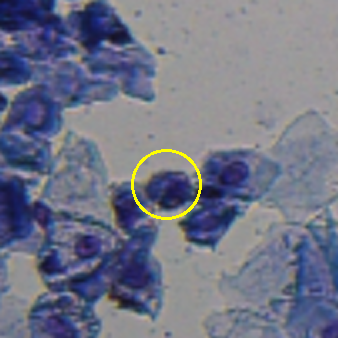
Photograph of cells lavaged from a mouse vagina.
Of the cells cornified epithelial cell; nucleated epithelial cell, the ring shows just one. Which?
The ring shows a nucleated epithelial cell.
